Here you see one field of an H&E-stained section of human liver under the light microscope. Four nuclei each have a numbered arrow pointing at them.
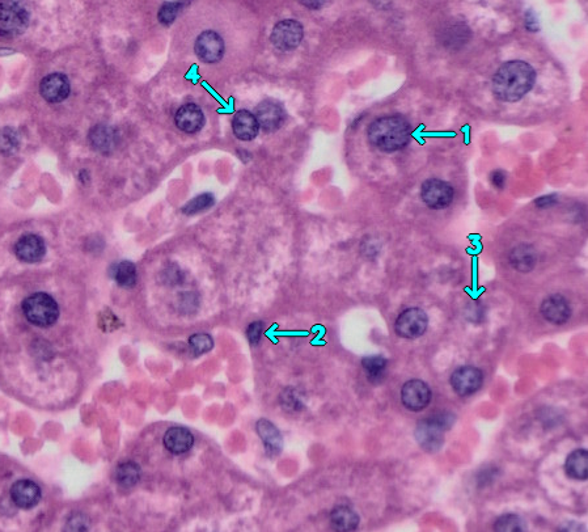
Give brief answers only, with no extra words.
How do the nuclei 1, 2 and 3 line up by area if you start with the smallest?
2, 3, 1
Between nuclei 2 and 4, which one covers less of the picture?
2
